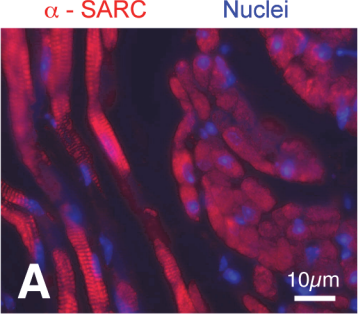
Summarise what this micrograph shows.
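On the left, long fibers cut lengthwise show fine, regular cross-striations. On the right, the cells are cut across and appear as closely packed rounded to polygonal red profiles. Oval blue nuclei lie within and between the fibers. A dark, unstained gap separates the lengthwise fibers from the cross-cut group.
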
